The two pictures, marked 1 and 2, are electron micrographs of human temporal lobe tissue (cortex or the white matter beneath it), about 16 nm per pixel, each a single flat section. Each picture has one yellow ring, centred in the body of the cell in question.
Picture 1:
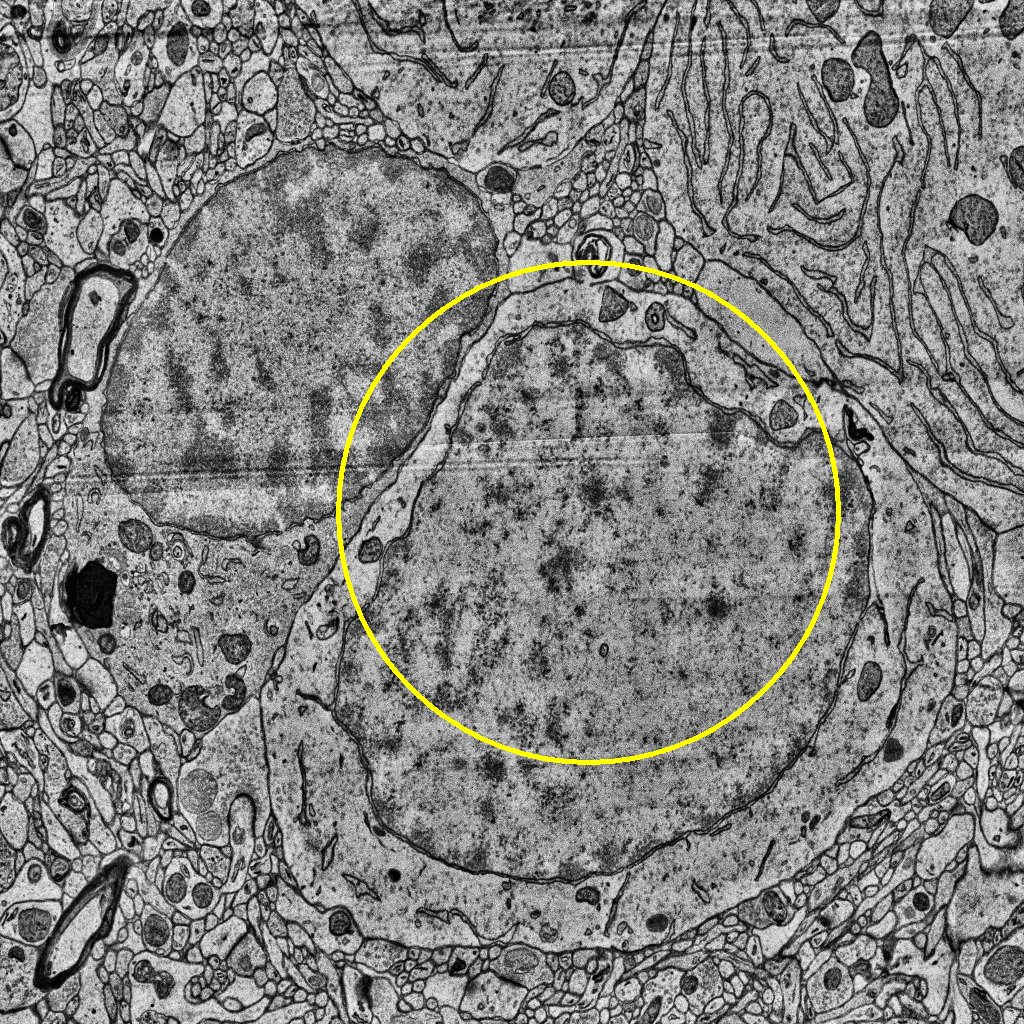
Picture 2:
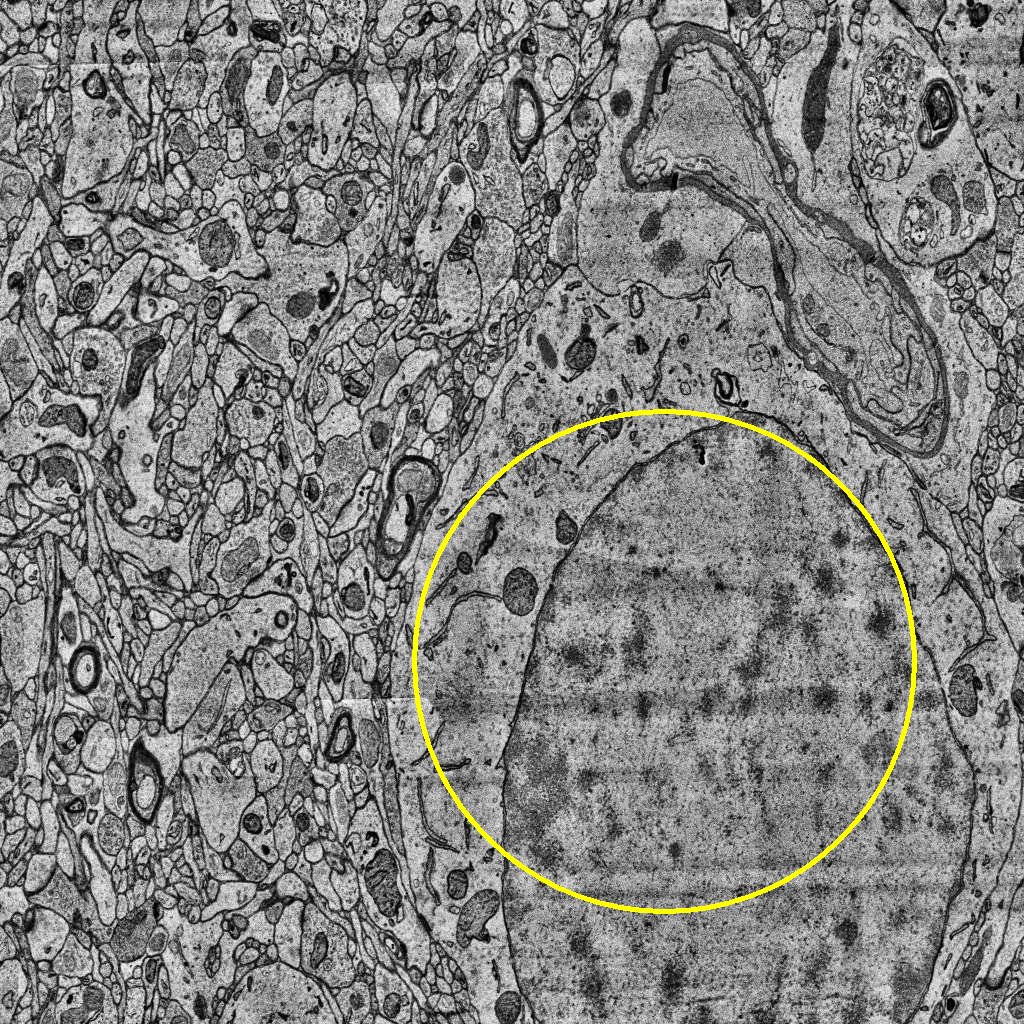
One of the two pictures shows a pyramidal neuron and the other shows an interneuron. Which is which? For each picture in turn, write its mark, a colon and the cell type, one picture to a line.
1: interneuron
2: pyramidal neuron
